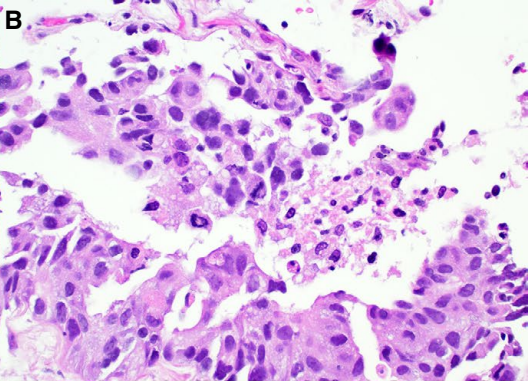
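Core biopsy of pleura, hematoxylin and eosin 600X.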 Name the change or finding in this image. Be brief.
Marked pleomorphism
